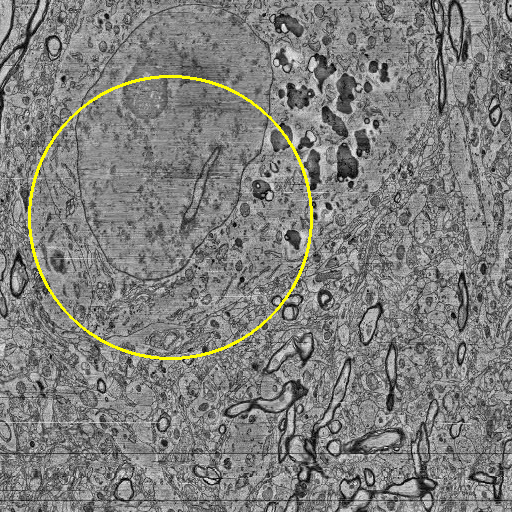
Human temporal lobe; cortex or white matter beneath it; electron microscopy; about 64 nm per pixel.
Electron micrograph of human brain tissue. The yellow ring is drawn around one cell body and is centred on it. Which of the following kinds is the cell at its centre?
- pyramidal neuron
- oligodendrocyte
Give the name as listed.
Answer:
pyramidal neuron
